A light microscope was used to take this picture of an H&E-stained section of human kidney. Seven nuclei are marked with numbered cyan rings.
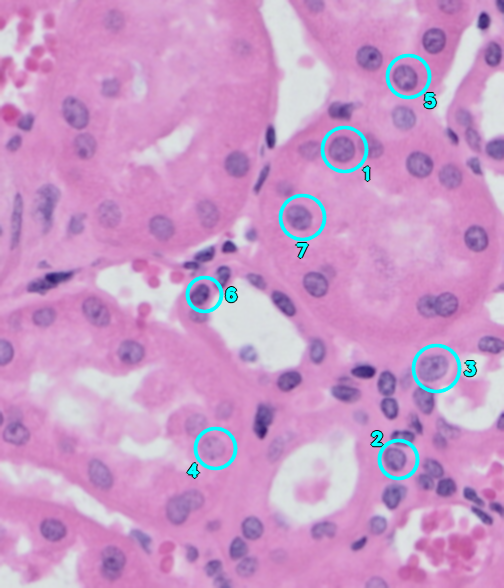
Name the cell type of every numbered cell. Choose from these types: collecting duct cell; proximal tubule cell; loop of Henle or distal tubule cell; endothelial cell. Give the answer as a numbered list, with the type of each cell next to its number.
1. proximal tubule cell
2. collecting duct cell
3. collecting duct cell
4. proximal tubule cell
5. proximal tubule cell
6. collecting duct cell
7. proximal tubule cell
